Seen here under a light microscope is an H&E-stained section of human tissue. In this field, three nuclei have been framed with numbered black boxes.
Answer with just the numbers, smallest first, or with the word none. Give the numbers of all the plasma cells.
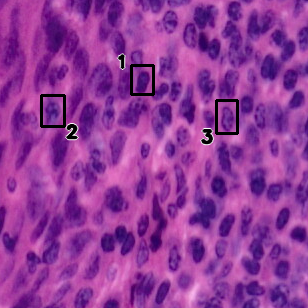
1, 3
